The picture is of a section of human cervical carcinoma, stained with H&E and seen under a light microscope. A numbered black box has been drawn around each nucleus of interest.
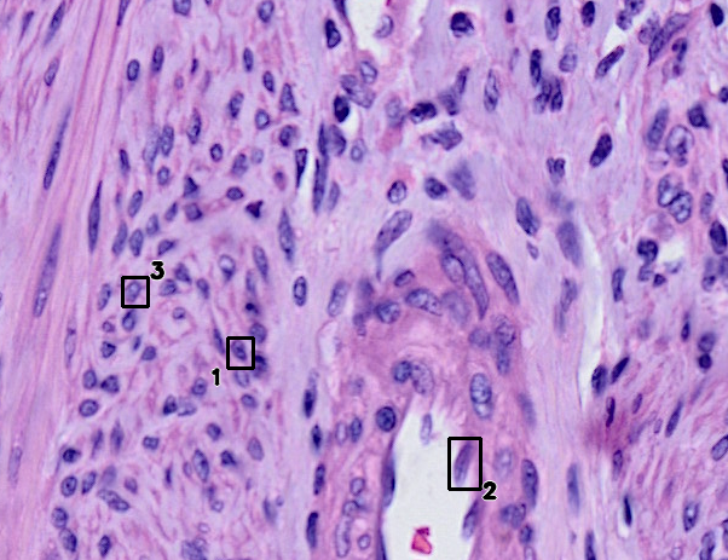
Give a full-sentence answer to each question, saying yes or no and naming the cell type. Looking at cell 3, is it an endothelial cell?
No, number 3 is not an endothelial cell; it is a smooth muscle cell.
